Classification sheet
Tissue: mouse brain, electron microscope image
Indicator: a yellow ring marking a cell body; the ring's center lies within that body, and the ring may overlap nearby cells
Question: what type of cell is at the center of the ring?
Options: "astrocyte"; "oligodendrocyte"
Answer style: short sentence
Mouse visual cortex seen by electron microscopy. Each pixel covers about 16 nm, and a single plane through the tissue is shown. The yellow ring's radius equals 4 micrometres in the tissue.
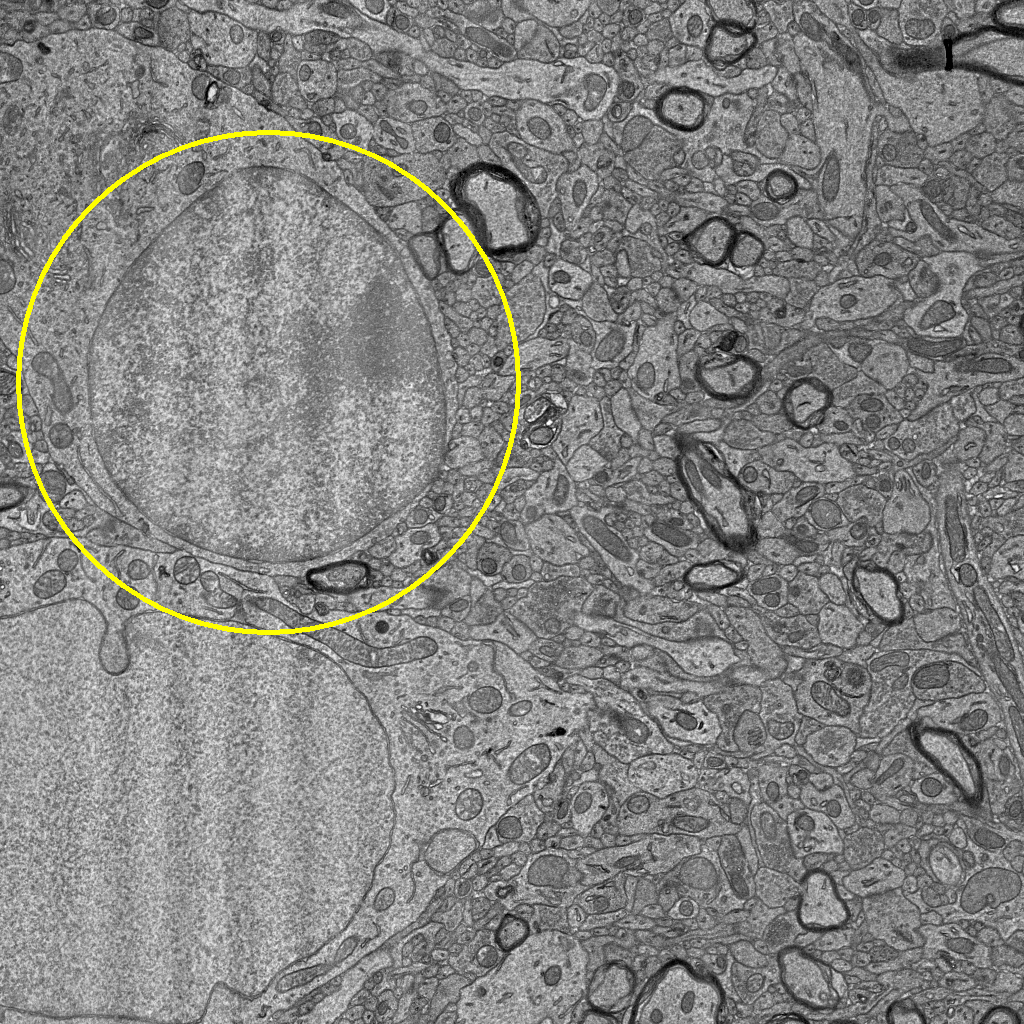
At the ring's center is an oligodendrocyte.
